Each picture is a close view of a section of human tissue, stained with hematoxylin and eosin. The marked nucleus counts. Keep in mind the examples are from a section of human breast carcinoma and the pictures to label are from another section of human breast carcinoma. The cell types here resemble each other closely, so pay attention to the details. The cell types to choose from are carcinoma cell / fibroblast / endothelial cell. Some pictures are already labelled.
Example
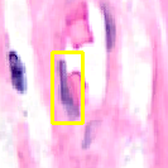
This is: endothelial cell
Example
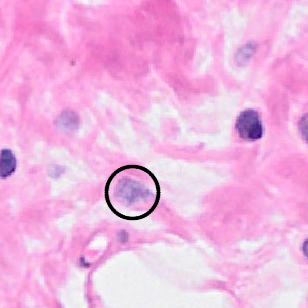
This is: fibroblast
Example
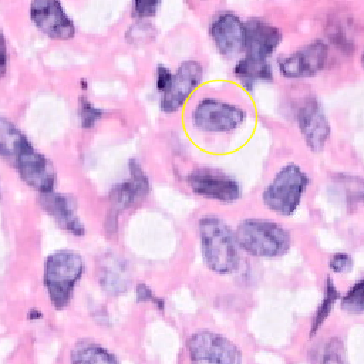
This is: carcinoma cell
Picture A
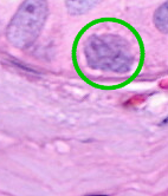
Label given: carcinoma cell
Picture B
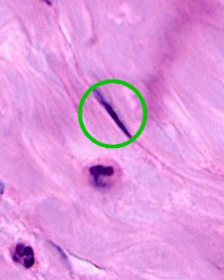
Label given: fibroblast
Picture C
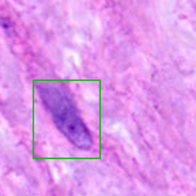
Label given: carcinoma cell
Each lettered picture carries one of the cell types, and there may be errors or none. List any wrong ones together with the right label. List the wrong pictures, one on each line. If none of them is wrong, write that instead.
C should be fibroblast, not carcinoma cell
